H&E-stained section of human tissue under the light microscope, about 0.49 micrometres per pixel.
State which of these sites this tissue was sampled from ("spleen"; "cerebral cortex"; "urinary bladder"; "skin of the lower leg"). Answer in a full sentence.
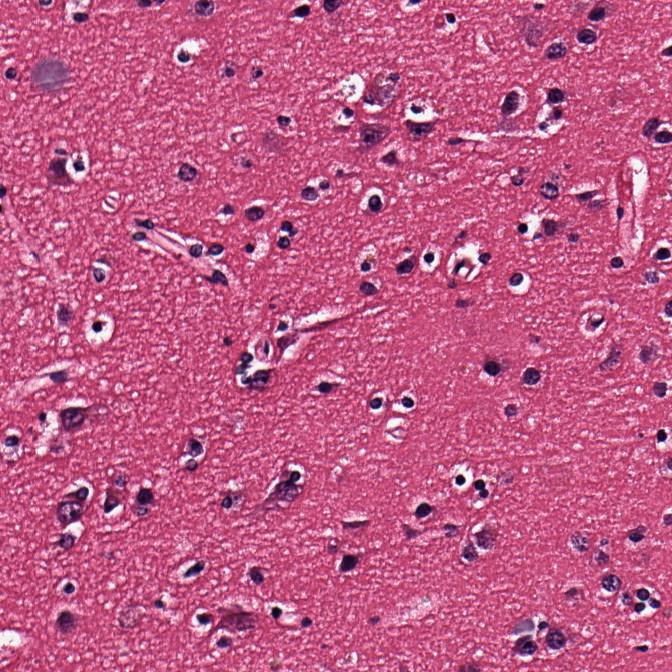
The site this tissue was sampled from is the cerebral cortex.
